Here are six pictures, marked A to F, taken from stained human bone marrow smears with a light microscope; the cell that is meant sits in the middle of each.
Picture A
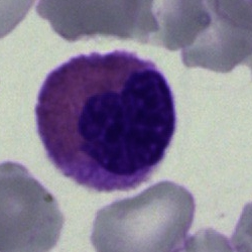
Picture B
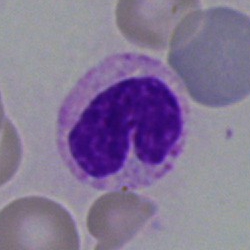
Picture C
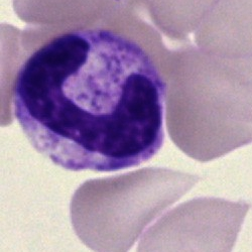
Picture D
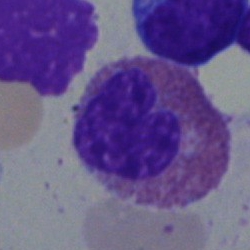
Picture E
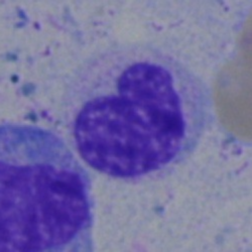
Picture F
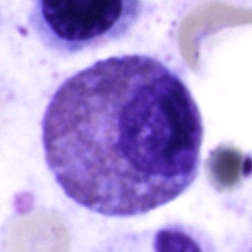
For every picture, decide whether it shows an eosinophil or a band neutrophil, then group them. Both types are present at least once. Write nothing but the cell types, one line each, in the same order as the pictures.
eosinophil
band neutrophil
band neutrophil
eosinophil
band neutrophil
eosinophil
